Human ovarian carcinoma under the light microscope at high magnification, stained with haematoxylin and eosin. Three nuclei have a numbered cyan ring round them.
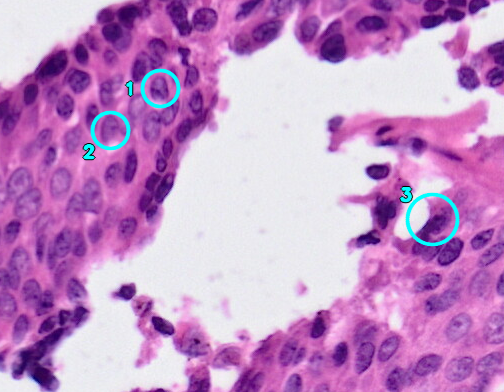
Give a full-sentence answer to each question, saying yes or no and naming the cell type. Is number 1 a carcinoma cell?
No, the cell indicated by 1 is a macrophage or monocyte instead of a carcinoma cell.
